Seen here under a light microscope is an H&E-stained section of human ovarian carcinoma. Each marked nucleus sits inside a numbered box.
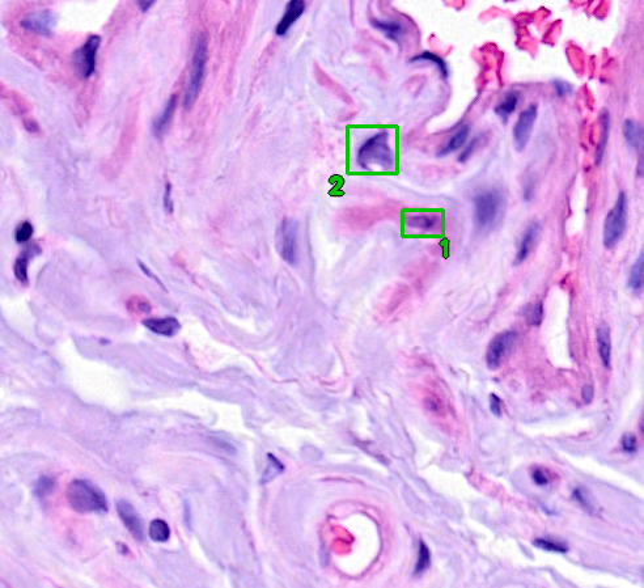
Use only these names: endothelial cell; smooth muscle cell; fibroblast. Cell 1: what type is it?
smooth muscle cell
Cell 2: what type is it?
fibroblast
